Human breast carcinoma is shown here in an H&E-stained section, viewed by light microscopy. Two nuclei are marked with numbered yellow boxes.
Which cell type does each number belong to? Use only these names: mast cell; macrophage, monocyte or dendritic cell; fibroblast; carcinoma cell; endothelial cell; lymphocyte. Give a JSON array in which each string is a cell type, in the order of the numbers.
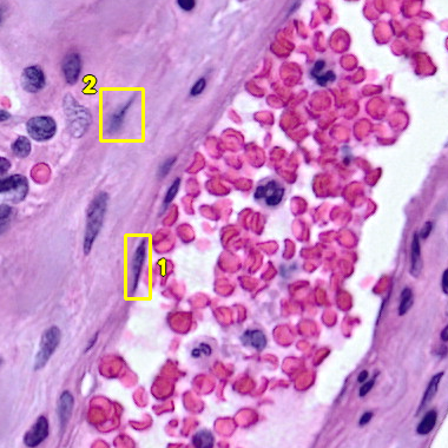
["endothelial cell", "fibroblast"]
